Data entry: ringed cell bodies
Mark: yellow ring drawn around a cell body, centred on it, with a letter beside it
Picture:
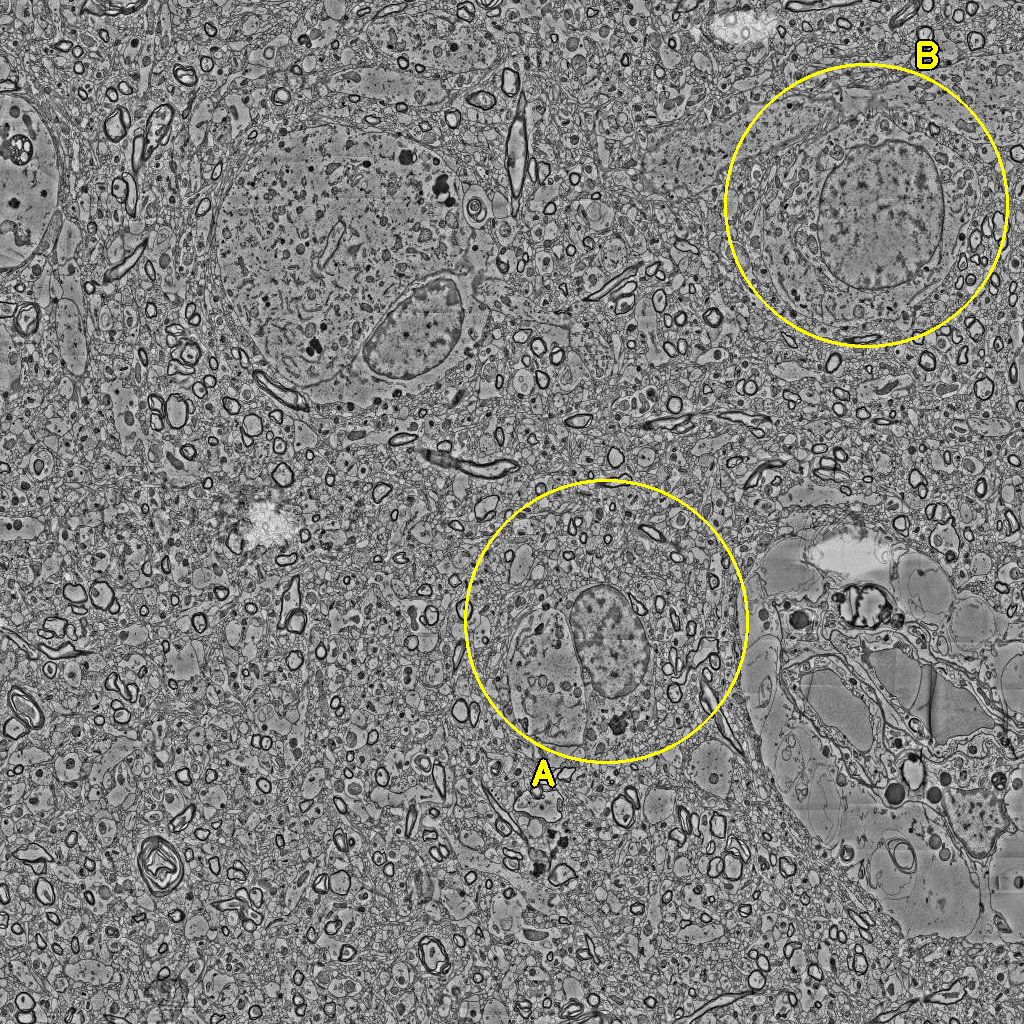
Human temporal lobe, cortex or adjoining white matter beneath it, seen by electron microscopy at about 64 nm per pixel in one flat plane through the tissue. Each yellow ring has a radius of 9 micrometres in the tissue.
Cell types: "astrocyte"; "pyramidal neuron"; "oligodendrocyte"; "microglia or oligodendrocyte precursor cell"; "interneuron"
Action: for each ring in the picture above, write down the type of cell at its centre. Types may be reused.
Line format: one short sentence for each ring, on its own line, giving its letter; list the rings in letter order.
For ring A, the cell at the centre is an oligodendrocyte.
For ring B, the cell at the centre is an interneuron.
